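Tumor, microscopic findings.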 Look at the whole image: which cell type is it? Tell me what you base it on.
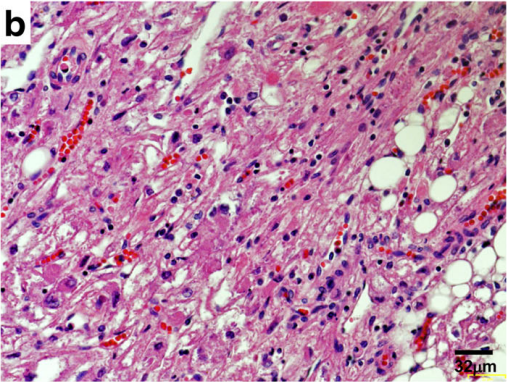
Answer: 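The elongated cells run in streaming bands across the field. Nuclei of many cells are oval to elongated. On this evidence: spindle cells.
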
